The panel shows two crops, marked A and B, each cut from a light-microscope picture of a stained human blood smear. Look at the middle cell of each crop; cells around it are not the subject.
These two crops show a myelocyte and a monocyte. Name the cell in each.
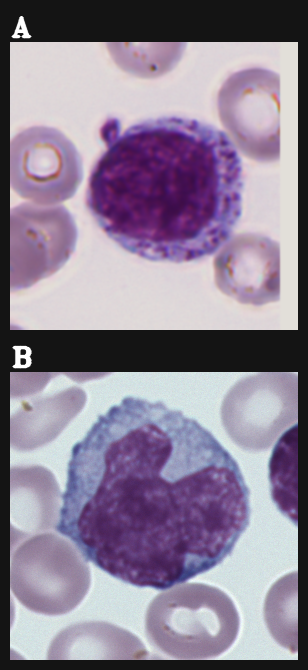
A: myelocyte
B: monocyte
